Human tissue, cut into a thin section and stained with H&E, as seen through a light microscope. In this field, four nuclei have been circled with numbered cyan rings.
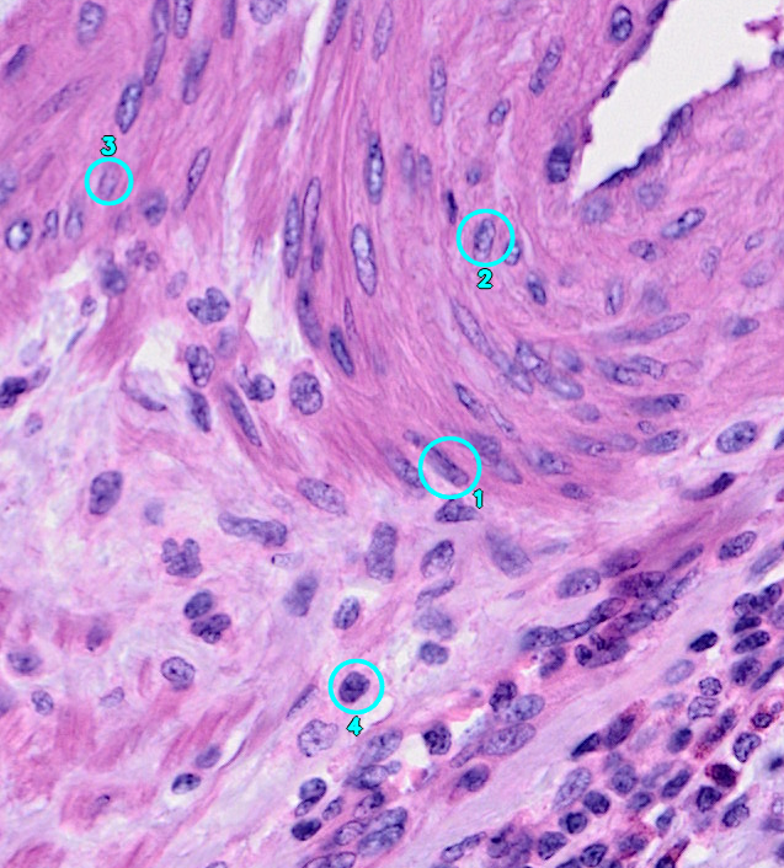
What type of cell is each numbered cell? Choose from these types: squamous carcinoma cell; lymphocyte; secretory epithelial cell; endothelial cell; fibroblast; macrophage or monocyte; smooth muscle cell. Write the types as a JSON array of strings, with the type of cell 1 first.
["smooth muscle cell", "smooth muscle cell", "smooth muscle cell", "lymphocyte"]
